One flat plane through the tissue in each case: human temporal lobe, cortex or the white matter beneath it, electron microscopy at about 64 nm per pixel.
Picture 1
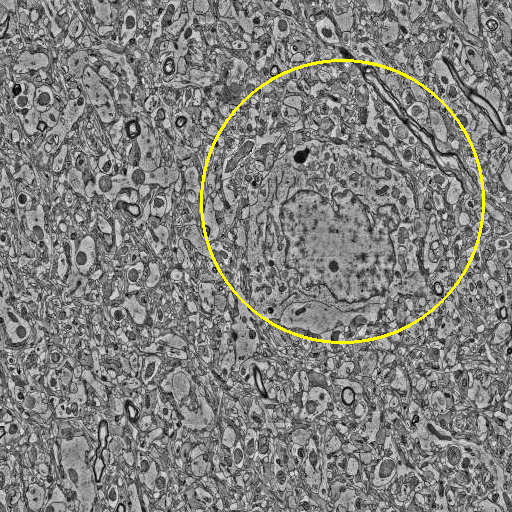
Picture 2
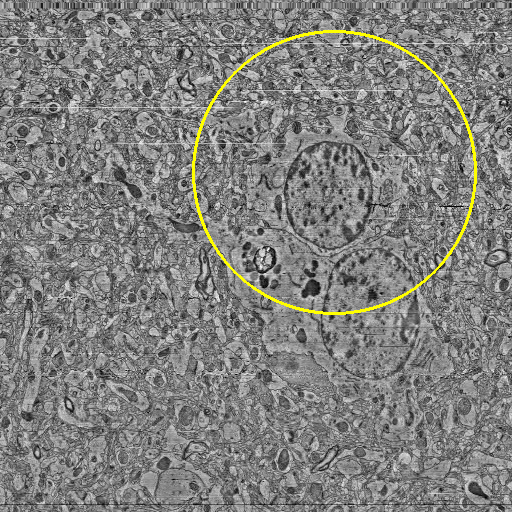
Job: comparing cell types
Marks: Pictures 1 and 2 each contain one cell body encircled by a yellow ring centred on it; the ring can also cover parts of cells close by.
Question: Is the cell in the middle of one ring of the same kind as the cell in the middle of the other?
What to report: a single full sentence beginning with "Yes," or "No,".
No, the cell at the ring centre in Picture 1 and its partner in Picture 2 are of two kinds.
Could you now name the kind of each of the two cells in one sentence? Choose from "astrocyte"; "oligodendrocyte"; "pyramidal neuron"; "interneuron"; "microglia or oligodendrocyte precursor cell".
The first ring encloses an interneuron; the second ring encloses an astrocyte.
